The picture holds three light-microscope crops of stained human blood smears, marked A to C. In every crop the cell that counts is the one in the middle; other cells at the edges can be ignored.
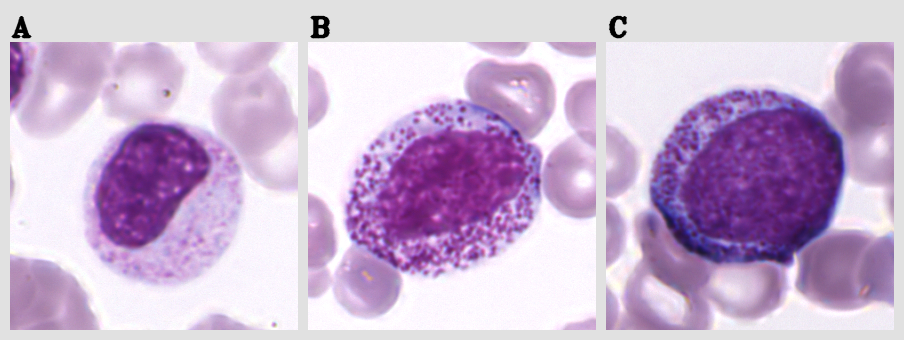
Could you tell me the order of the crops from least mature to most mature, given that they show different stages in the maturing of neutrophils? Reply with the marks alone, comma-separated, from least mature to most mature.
C, B, A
